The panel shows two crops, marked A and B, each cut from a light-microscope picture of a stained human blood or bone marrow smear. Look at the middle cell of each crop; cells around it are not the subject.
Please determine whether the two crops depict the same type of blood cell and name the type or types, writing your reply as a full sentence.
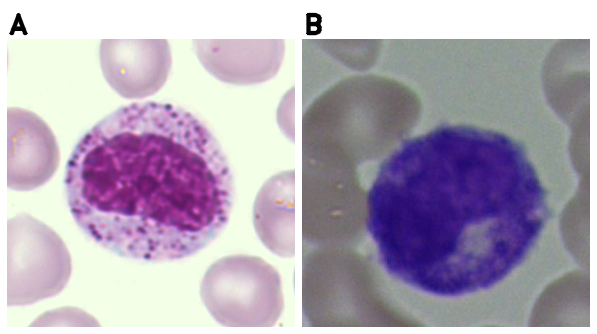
Yes, the two crops are alike in showing metamyelocytes.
